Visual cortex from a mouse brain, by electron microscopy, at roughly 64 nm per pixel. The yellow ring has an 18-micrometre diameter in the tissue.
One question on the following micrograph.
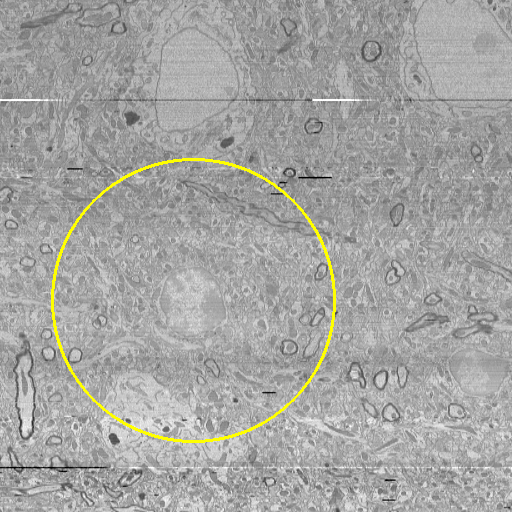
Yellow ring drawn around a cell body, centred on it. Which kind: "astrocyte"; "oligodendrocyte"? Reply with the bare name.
oligodendrocyte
